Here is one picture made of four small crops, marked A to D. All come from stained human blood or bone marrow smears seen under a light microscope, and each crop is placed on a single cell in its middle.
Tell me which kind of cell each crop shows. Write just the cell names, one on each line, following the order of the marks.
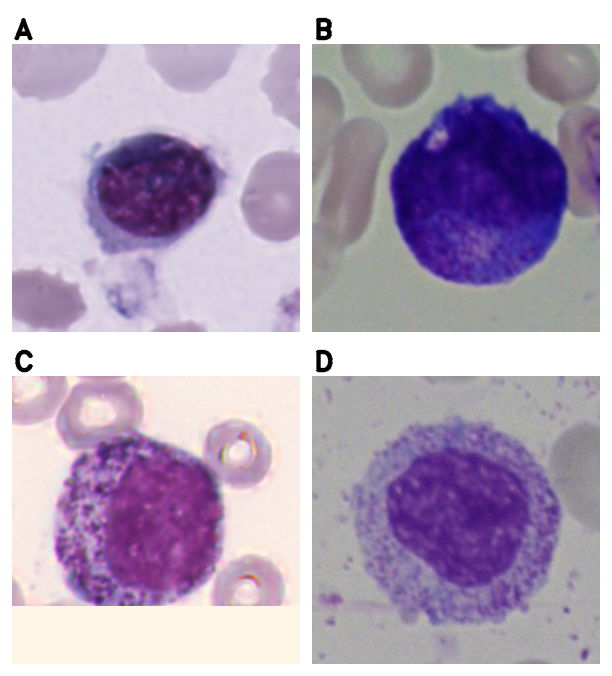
plasma cell
promyelocyte
promyelocyte
myelocyte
